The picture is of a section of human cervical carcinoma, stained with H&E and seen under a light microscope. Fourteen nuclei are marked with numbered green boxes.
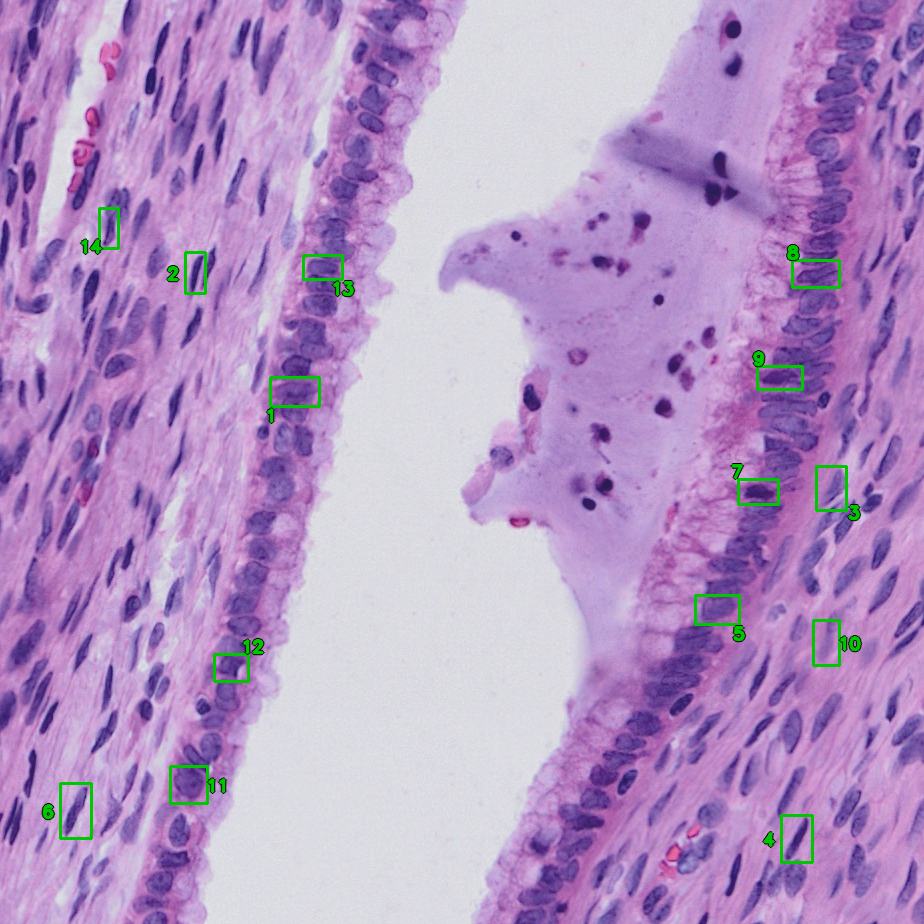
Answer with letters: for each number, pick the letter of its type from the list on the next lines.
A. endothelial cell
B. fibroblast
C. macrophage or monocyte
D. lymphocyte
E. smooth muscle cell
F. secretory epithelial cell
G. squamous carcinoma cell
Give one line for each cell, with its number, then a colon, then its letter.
1: F
2: B
3: B
4: B
5: F
6: B
7: F
8: F
9: F
10: B
11: F
12: F
13: F
14: B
